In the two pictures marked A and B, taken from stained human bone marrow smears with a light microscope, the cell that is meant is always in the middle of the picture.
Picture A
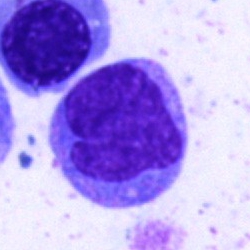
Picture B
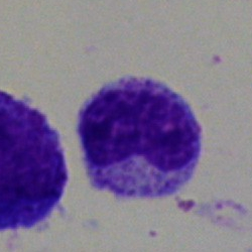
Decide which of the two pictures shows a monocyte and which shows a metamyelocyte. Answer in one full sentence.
Picture A shows a monocyte and picture B shows a metamyelocyte.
